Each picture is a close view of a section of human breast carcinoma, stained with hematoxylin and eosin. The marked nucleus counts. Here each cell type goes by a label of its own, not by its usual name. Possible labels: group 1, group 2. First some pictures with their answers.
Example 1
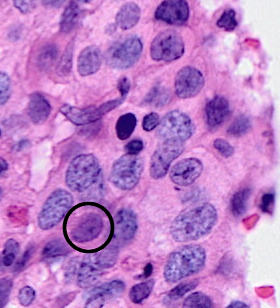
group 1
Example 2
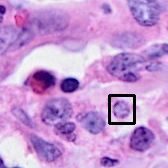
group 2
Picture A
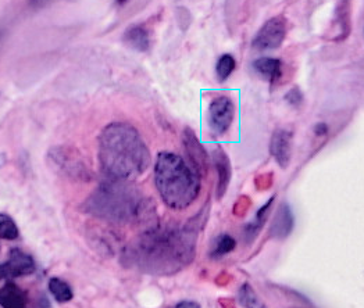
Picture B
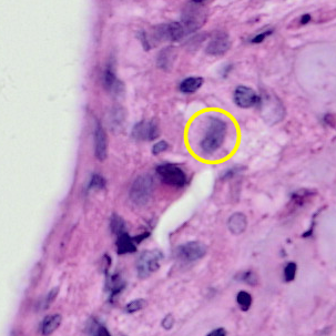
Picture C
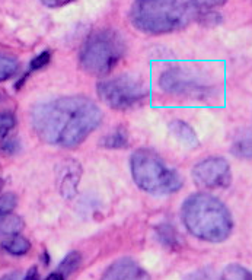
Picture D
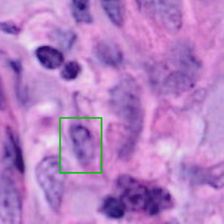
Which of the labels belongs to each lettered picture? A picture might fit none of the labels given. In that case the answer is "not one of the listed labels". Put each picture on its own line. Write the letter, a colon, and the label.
A: not one of the listed labels
B: group 2
C: group 1
D: group 2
